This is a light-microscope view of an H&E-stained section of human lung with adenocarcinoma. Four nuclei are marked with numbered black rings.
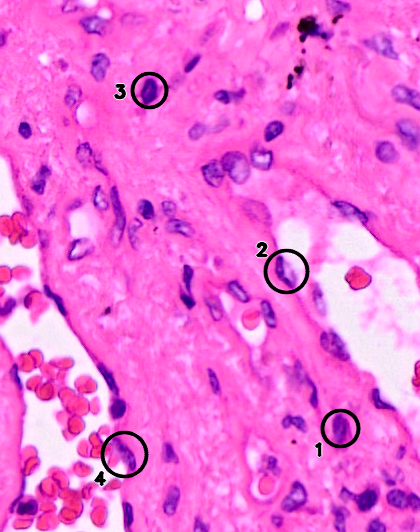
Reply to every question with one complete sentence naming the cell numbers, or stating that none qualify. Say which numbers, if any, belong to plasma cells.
The cells that have numbers 1 and 3 are plasma cells.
